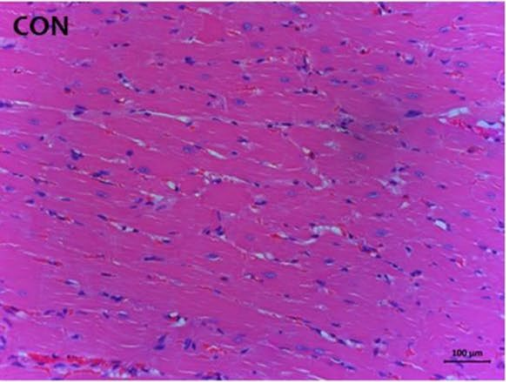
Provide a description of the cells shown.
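This is heart muscle with the cardiac muscle fibres cut along their length. The fibres run in parallel, pink-stained rows that lie close together. Their nuclei are oval to elongated, purple, and lie within the fibres along their long axis. Narrow spaces between the fibres hold small capillaries with red blood cells.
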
